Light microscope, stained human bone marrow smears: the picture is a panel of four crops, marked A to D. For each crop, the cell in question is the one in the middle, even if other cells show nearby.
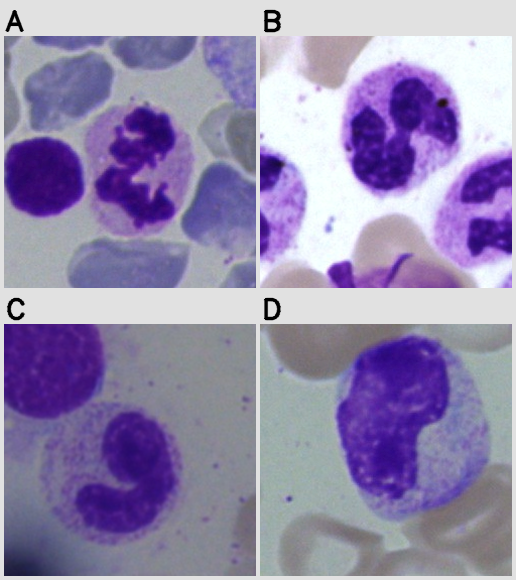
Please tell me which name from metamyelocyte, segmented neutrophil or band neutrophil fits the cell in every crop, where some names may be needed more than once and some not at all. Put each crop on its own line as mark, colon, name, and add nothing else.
A: segmented neutrophil
B: segmented neutrophil
C: band neutrophil
D: metamyelocyte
